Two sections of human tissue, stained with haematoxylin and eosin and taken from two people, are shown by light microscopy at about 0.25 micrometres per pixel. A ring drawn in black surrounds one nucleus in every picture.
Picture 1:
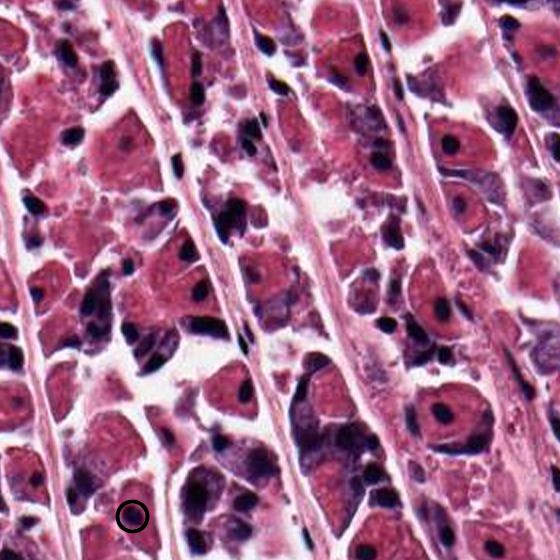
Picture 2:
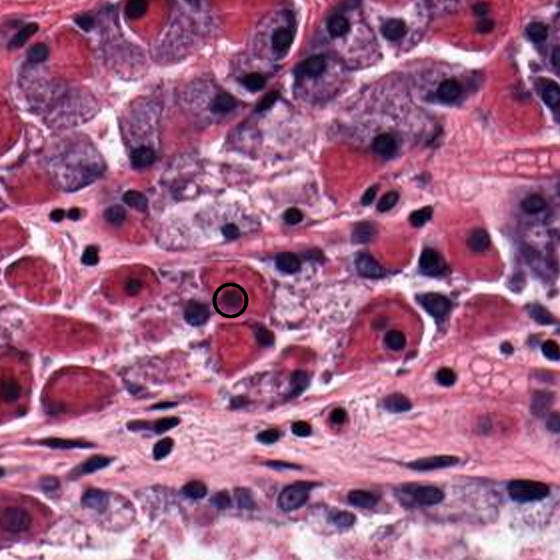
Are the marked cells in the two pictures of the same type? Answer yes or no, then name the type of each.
Yes, both are parietal cells.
